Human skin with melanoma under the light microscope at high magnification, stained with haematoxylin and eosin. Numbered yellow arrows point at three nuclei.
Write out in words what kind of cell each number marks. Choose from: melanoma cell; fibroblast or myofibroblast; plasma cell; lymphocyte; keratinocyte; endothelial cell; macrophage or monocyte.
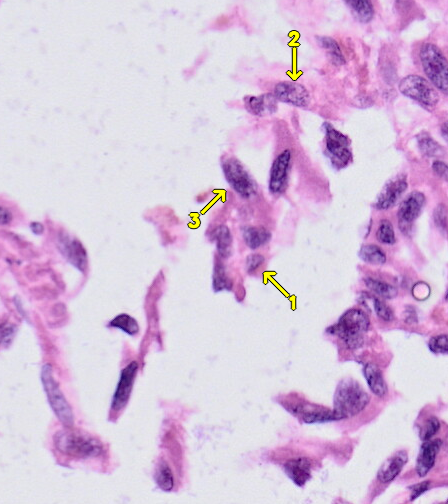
Cell 1 is a macrophage or monocyte. Cells 2 and 3 are melanoma cells.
